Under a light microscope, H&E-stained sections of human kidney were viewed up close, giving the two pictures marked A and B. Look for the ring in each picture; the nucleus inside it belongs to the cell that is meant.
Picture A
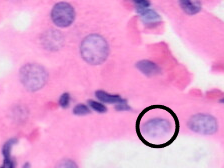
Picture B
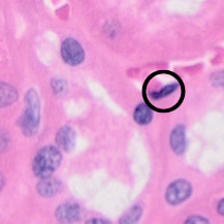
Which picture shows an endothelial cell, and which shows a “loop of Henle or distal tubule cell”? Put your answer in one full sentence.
In picture A the cell is a “loop of Henle or distal tubule cell”; in picture B, an endothelial cell.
